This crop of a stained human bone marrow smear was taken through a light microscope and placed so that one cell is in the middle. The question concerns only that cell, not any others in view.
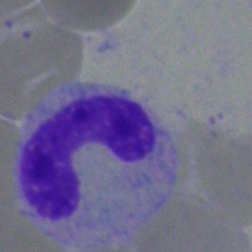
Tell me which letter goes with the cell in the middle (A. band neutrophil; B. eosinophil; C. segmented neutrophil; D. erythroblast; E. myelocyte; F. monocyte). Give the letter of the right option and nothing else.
A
